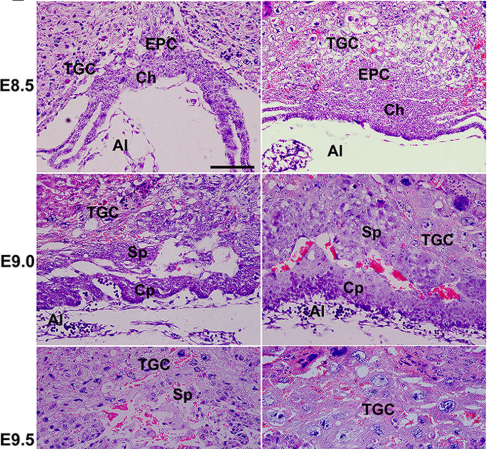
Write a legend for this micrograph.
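The chorion or chorionic plate is a dense band of small cells with darkly purple nuclei near the bottom of the field, and the loose tissue of the allantois lies beneath it. In some fields, bright red blood cells fill small spaces between the trophoblast layers. In the right-hand images the large giant cells take up more of the field than in the left-hand images.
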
